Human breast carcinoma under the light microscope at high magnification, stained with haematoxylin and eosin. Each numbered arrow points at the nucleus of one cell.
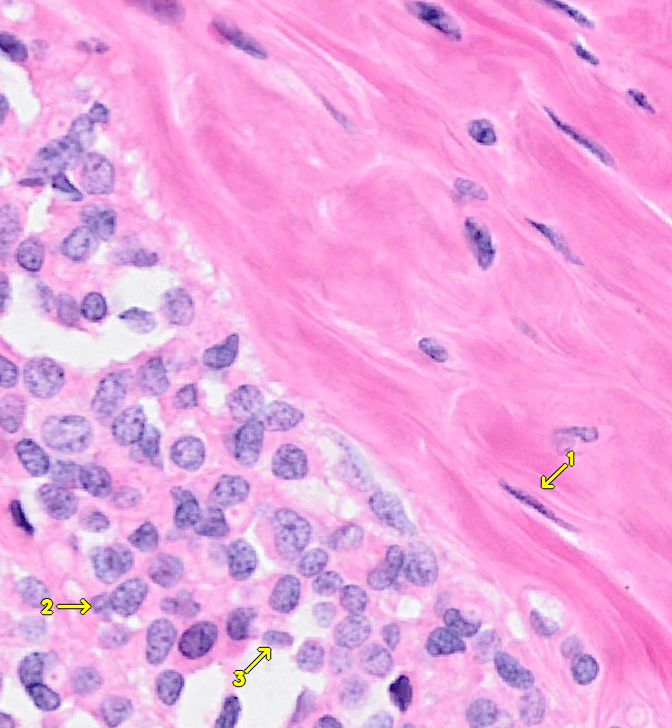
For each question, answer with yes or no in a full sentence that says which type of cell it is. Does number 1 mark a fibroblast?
Yes, cell number 1 is identified here as a fibroblast.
